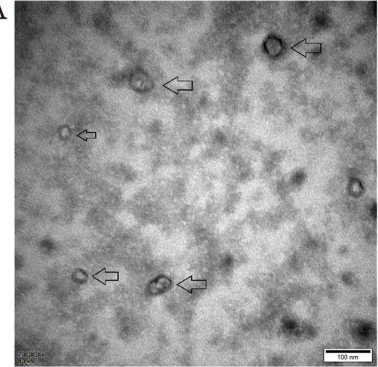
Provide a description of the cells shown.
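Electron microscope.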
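Several are indicated by open arrows. The vesicles lie apart from one another rather than in clusters. A few darker, less sharply outlined blobs are also present in the field. The background has no cells or tissue, only uneven grey texture of the support film.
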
